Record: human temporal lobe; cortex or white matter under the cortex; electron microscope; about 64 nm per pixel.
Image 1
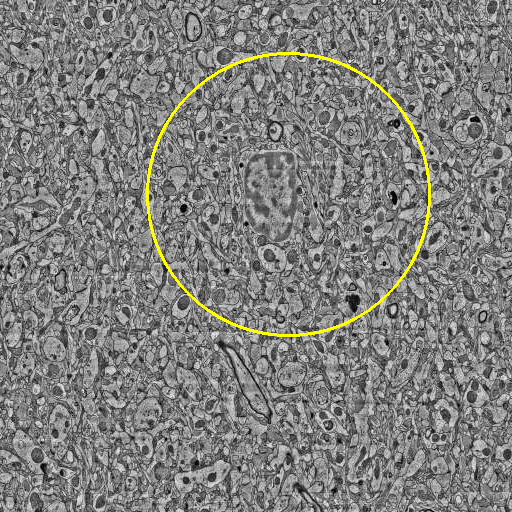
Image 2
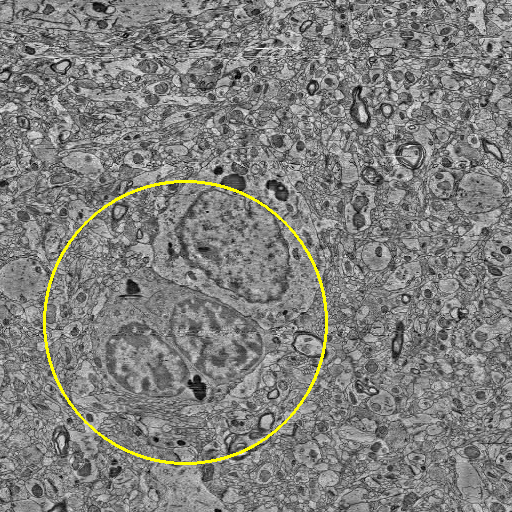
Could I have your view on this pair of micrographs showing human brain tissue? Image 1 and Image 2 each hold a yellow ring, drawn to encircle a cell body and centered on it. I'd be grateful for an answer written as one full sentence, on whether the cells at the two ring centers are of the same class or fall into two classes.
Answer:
The cells at the centers of the two rings fall into two classes.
